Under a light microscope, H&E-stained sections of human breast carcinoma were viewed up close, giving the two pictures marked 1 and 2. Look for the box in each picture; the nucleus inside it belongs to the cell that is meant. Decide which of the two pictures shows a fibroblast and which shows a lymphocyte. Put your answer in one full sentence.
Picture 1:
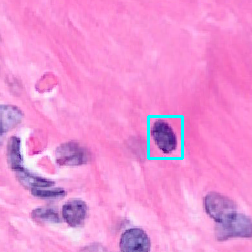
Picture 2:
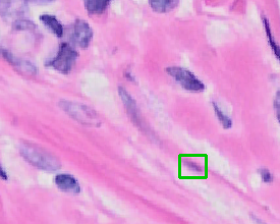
Picture 2 shows a fibroblast, while picture 1 shows a lymphocyte.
